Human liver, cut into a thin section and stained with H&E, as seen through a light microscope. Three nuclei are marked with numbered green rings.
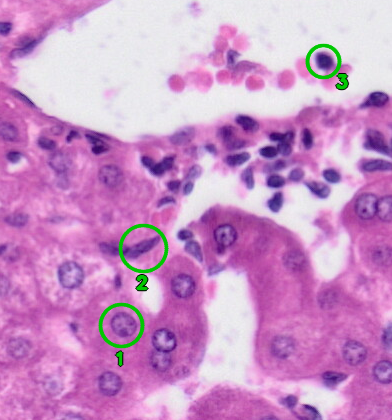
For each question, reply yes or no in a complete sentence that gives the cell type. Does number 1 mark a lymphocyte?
No, cell 1 is a hepatocyte, not a lymphocyte.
